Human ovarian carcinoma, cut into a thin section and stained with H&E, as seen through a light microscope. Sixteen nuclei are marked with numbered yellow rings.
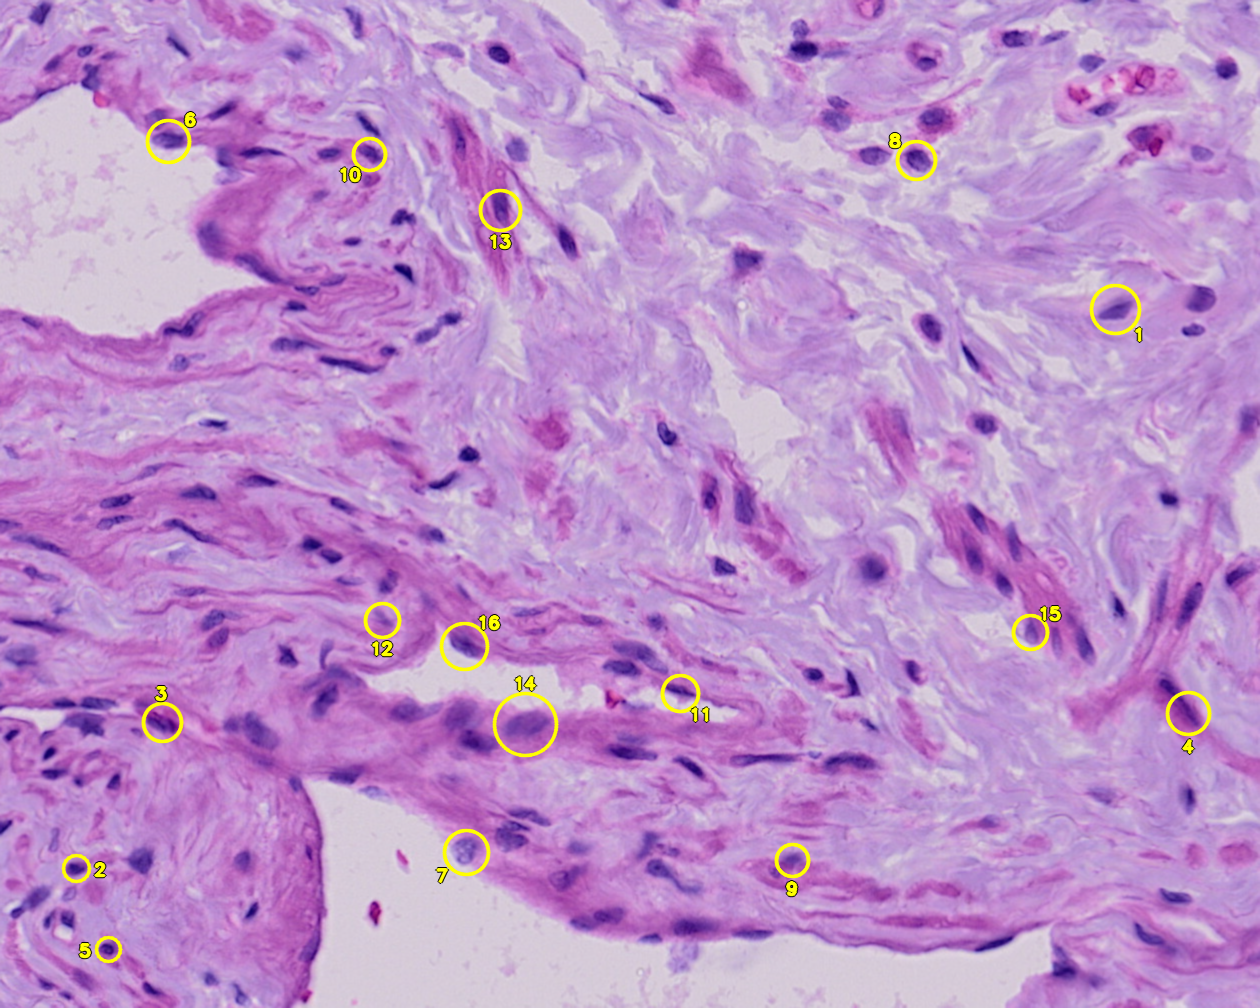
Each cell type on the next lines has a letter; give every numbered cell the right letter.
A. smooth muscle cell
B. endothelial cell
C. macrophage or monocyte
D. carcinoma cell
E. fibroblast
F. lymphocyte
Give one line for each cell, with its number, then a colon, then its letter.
1: E
2: A
3: B
4: A
5: A
6: B
7: B
8: C
9: A
10: A
11: B
12: A
13: A
14: B
15: A
16: B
